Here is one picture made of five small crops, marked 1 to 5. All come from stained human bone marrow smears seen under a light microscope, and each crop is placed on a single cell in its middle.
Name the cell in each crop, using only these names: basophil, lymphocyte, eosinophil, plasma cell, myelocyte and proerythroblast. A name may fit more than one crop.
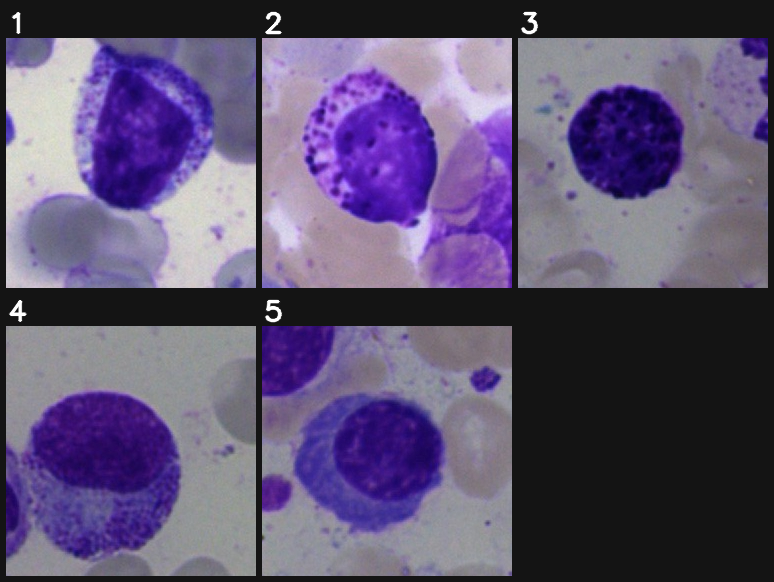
1: myelocyte
2: basophil
3: basophil
4: myelocyte
5: plasma cell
